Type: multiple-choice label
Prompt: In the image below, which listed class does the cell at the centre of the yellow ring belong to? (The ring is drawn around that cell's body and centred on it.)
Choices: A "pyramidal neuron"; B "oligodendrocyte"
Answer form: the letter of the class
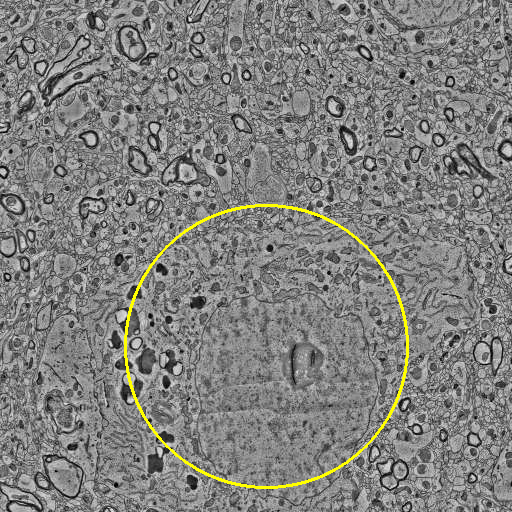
A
